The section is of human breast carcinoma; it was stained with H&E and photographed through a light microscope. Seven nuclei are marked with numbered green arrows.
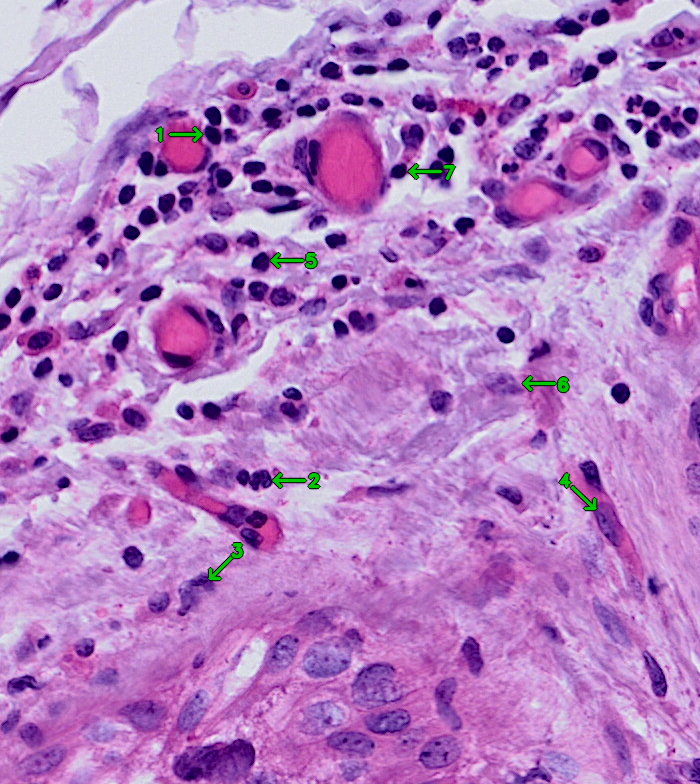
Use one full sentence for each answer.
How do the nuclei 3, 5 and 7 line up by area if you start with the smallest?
The order from the smallest nucleus to the largest is 7, 5, 3.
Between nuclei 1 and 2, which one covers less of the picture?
Nucleus 1 covers less area, with nucleus 2 about 1.5 times as large.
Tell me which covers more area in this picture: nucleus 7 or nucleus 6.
At about 3 times the area of nucleus 7, nucleus 6 is the larger of the two.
